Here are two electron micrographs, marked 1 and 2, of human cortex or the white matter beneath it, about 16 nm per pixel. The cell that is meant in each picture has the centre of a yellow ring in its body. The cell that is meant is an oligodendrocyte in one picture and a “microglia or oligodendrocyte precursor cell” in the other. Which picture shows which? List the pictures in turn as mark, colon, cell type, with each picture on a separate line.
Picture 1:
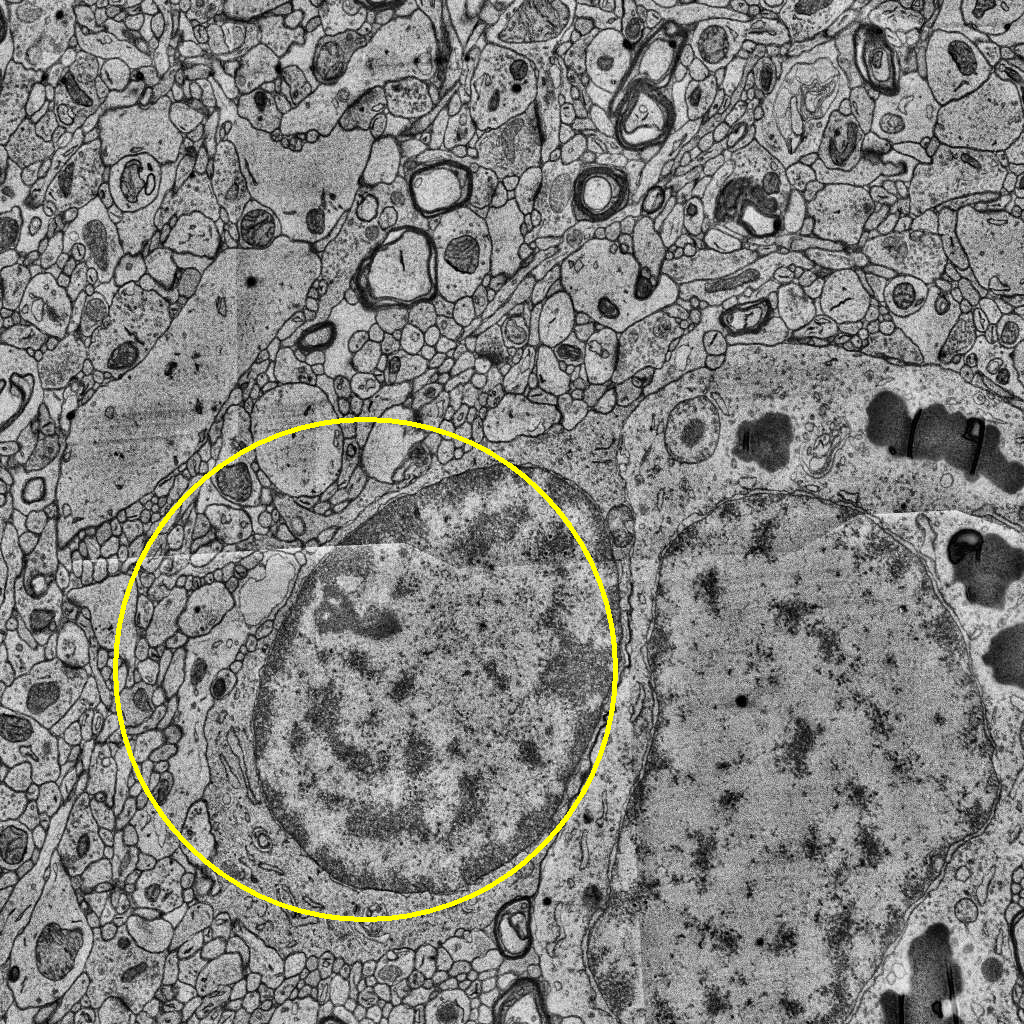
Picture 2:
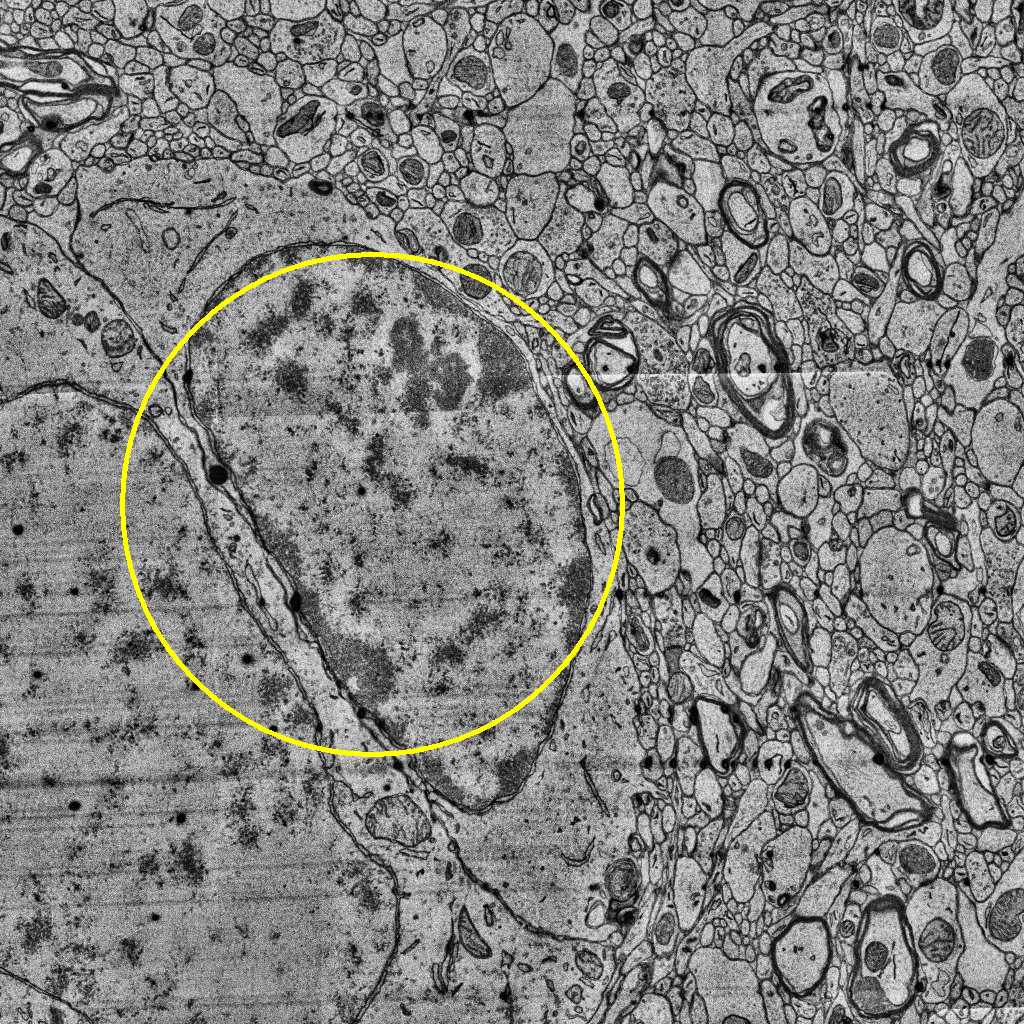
1: oligodendrocyte
2: microglia or oligodendrocyte precursor cell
